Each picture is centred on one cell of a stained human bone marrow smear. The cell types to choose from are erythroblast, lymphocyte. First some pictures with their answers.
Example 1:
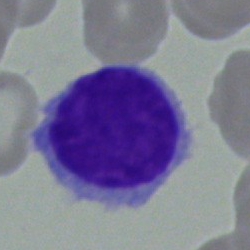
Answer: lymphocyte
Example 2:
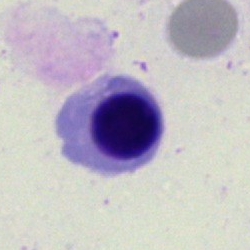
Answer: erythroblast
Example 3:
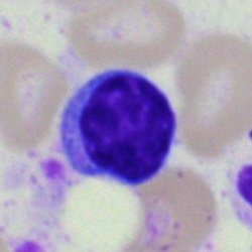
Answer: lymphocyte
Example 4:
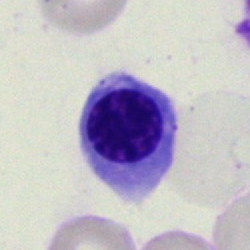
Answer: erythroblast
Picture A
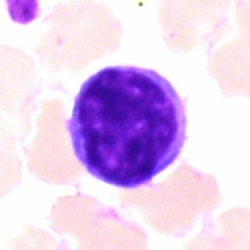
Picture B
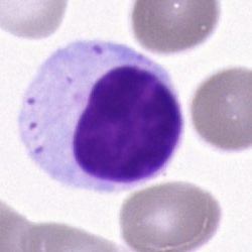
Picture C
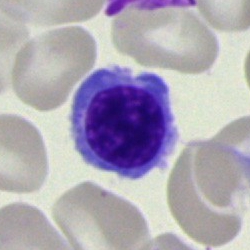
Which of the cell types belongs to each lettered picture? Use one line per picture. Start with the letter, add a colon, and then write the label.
A: lymphocyte
B: lymphocyte
C: erythroblast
